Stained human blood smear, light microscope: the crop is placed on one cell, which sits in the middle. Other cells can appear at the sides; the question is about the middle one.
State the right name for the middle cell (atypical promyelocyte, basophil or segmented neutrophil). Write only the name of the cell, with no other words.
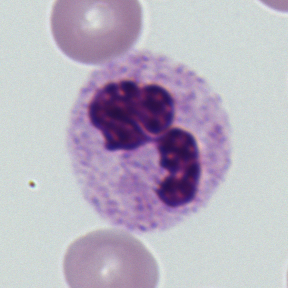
segmented neutrophil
